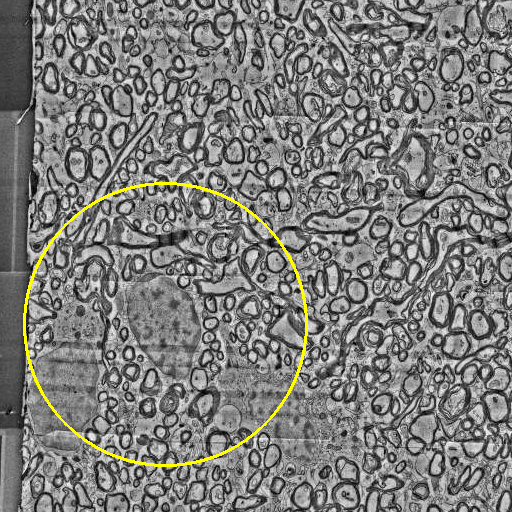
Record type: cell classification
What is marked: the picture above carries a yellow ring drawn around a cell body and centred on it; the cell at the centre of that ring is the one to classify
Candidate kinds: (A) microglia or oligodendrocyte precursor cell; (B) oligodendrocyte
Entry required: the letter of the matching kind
A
